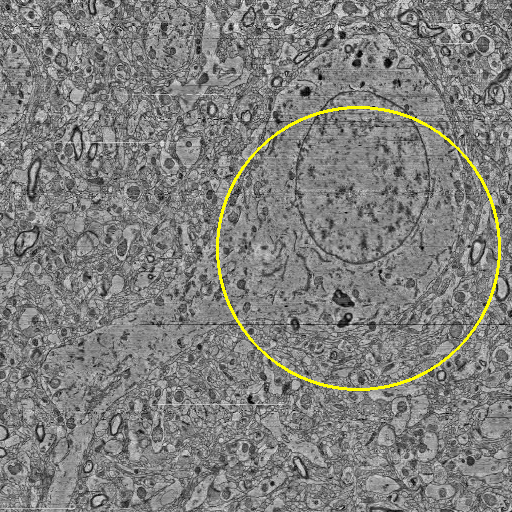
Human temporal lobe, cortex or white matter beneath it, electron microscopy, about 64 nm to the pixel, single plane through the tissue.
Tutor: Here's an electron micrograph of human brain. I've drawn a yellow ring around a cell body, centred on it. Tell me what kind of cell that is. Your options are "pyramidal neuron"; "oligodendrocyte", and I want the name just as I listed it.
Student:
pyramidal neuron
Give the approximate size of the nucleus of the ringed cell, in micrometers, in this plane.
In this plane, roughly 11 by 9 micrometres.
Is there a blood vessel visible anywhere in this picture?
No, the picture includes no blood vessel.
